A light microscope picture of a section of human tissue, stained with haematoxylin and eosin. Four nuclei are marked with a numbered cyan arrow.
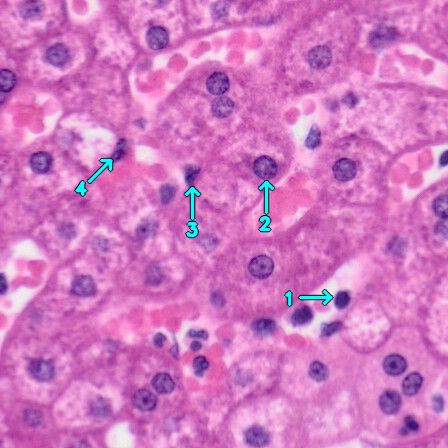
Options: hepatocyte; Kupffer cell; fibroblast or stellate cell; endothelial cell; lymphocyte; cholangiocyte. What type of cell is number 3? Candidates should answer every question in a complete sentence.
The cell with the number 3 is an endothelial cell.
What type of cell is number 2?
In this section, number 2 marks a hepatocyte.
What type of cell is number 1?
Cell 1 is classified as a lymphocyte.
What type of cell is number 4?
At number 4, the marked cell is an endothelial cell.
